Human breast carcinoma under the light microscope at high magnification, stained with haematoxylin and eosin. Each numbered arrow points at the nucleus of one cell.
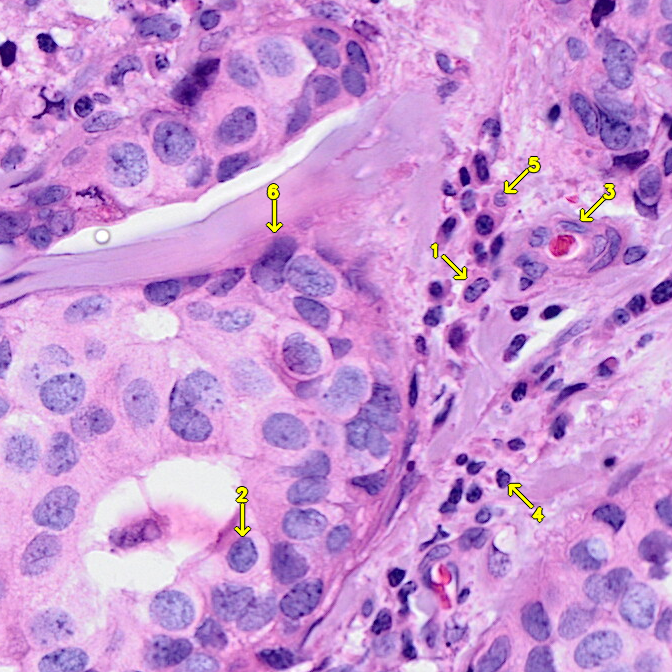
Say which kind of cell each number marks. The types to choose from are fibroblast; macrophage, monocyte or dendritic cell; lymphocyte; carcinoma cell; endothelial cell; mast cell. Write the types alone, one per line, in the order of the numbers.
mast cell
carcinoma cell
endothelial cell
lymphocyte
mast cell
carcinoma cell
